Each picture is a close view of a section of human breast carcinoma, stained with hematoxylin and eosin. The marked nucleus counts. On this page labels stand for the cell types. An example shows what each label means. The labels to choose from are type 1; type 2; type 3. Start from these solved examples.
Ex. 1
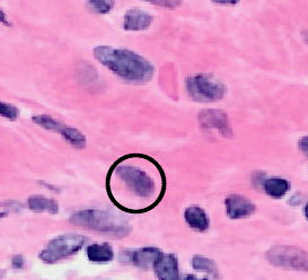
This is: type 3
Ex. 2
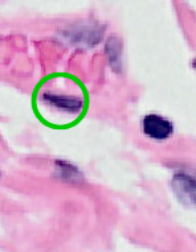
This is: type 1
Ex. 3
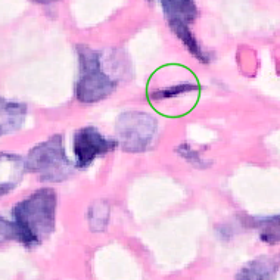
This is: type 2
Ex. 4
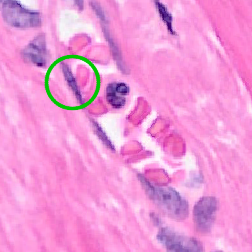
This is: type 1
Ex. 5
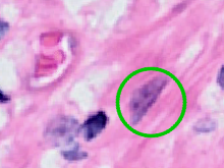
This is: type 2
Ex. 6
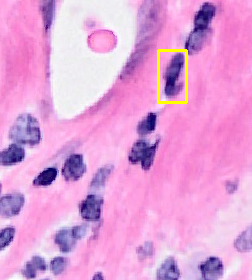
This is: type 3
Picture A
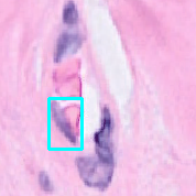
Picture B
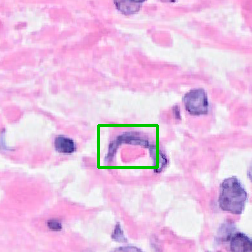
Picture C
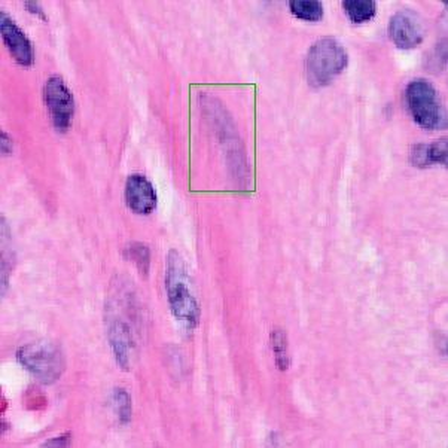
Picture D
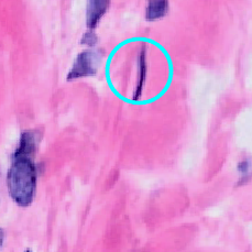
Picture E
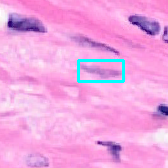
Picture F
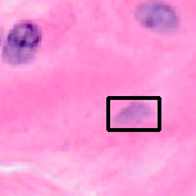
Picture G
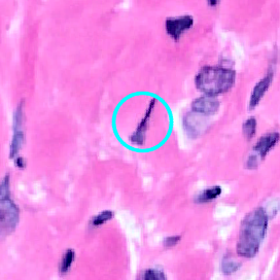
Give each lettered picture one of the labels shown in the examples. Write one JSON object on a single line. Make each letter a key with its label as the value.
{"A": "type 1", "B": "type 1", "C": "type 2", "D": "type 2", "E": "type 2", "F": "type 2", "G": "type 2"}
